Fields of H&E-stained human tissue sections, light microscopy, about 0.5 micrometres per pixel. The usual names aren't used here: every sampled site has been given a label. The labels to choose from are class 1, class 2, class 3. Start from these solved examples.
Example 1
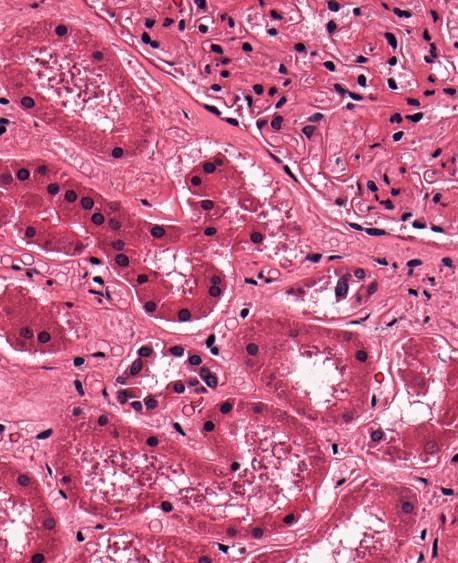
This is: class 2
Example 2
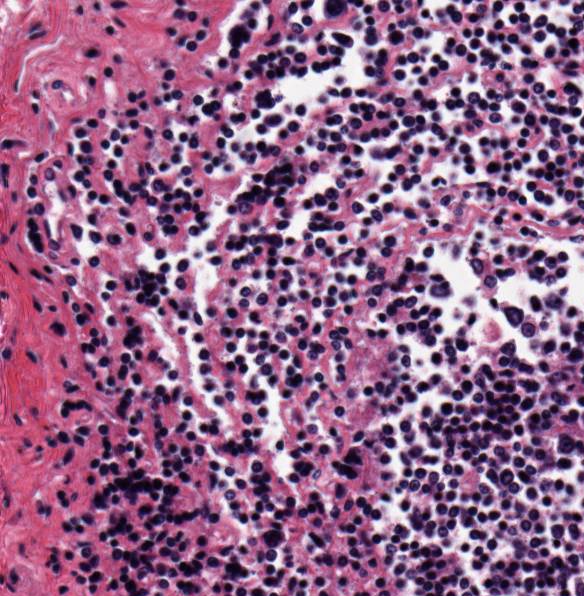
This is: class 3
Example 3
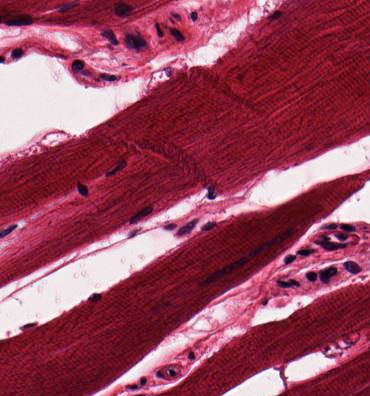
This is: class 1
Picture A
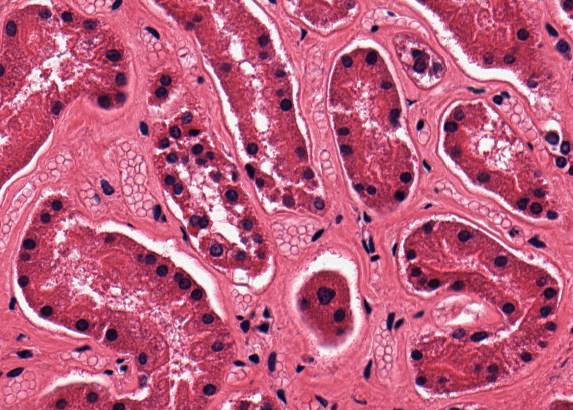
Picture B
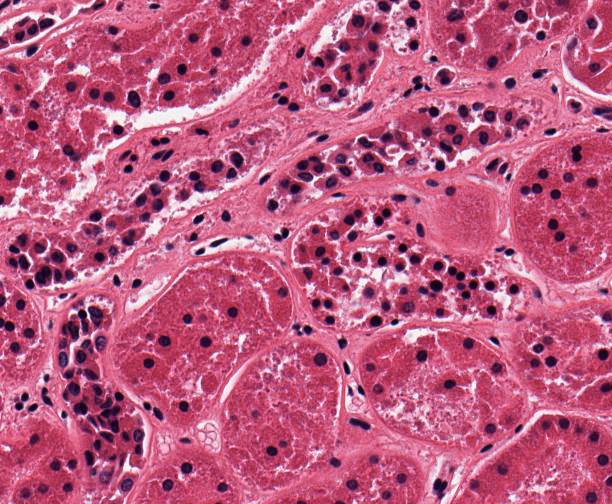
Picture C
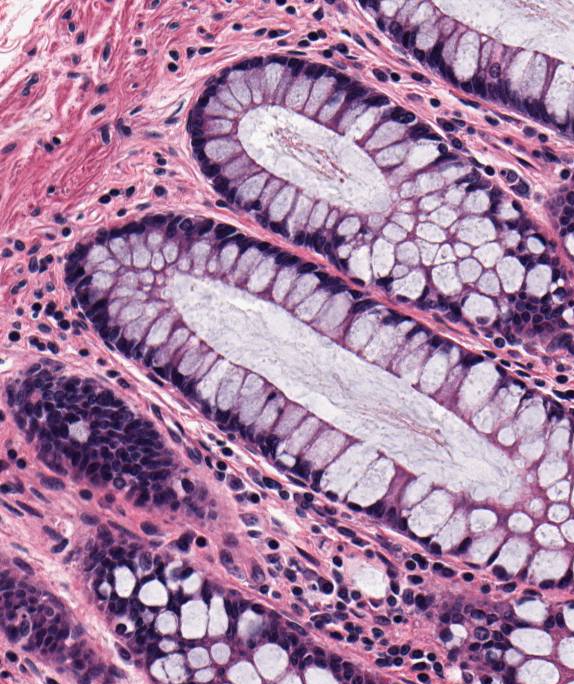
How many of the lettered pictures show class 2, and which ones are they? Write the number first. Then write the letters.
2: A, B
